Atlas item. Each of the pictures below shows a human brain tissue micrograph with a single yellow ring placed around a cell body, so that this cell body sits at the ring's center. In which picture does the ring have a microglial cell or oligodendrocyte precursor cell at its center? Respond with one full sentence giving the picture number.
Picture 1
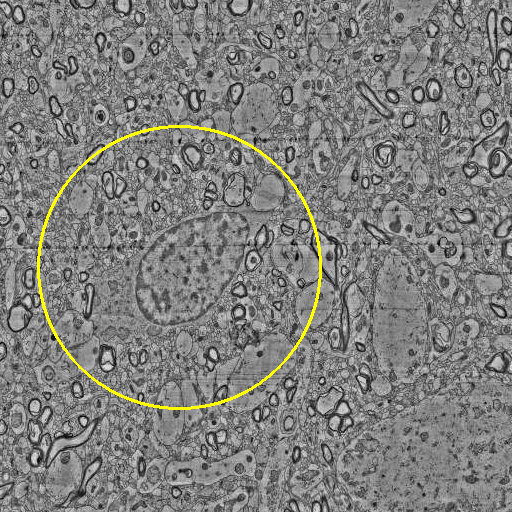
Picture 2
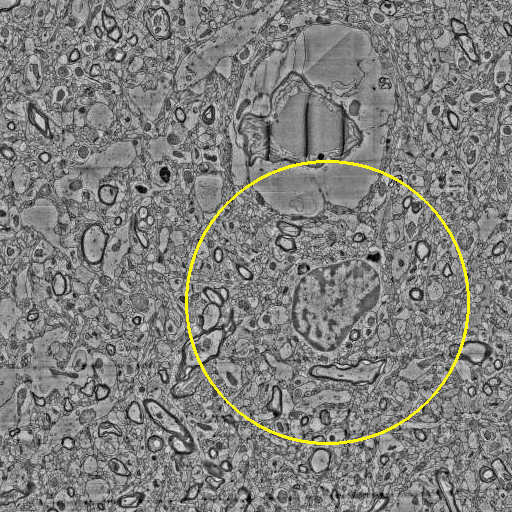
The cell at the ring's center that fits lies in picture 2.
